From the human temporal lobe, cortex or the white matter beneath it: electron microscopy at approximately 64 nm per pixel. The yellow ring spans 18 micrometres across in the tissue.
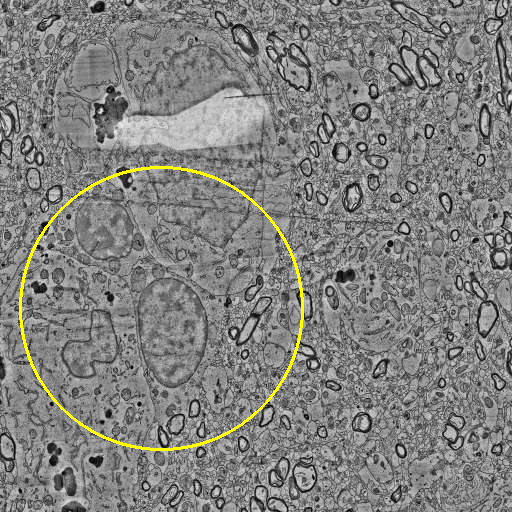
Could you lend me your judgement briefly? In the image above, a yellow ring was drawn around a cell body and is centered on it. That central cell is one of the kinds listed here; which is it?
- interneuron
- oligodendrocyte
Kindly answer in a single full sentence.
Going by the list, an oligodendrocyte is the kind at the ring's center in the picture.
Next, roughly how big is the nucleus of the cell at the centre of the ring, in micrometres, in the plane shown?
About 7 by 4 micrometres, the nucleus being clearly longer than it is wide in this plane.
